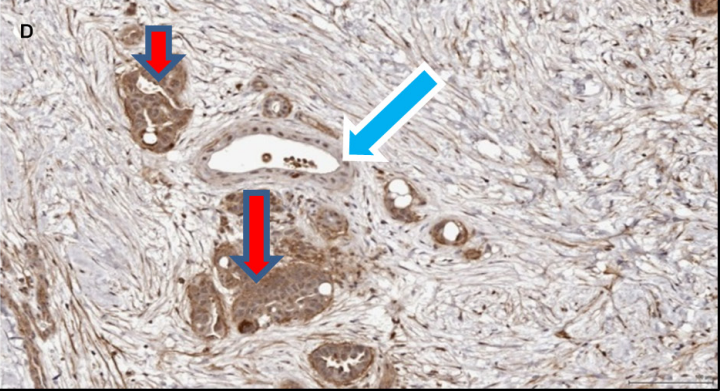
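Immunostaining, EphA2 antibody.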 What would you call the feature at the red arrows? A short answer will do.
Cancer glands.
